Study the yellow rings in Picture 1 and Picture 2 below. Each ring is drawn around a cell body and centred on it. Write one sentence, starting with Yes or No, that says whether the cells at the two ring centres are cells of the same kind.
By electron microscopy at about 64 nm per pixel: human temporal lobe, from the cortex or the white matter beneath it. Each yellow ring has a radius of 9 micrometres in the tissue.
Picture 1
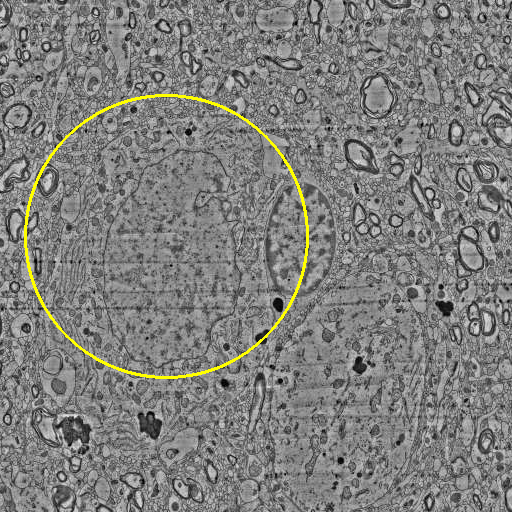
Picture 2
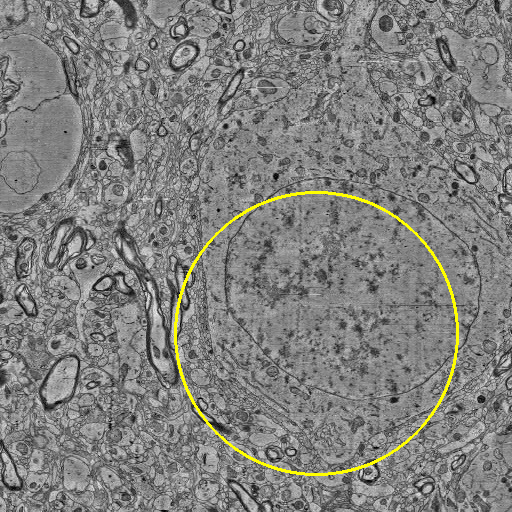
No, the cells at the ring centres are of two kinds.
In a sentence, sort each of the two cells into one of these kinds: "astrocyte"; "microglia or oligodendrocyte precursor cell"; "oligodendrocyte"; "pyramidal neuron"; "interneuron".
The first of the two cells is an interneuron, and the second is a pyramidal neuron.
